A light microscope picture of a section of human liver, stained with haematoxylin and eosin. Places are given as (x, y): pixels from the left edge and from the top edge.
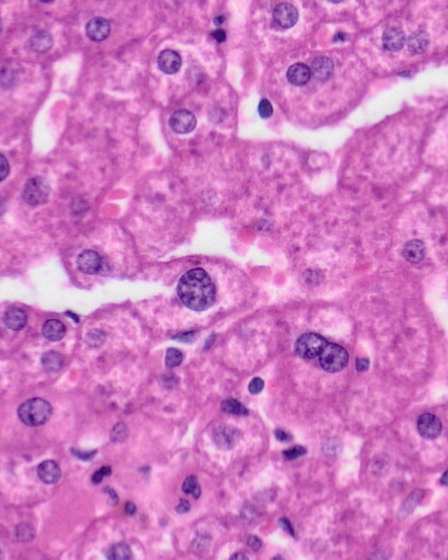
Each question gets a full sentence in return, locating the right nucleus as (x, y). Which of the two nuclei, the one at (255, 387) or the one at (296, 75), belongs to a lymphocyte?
The nucleus found at (255, 387) belongs to a lymphocyte.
